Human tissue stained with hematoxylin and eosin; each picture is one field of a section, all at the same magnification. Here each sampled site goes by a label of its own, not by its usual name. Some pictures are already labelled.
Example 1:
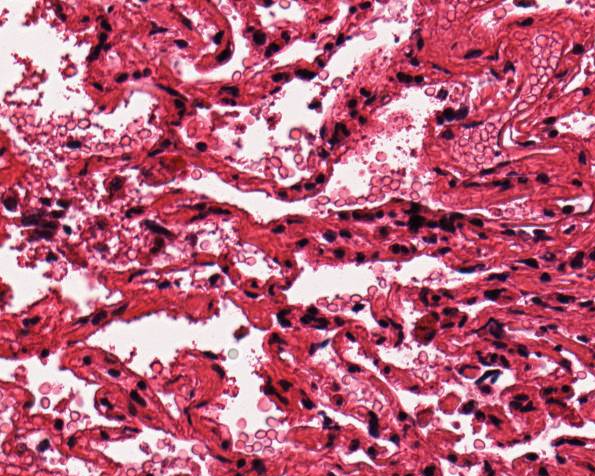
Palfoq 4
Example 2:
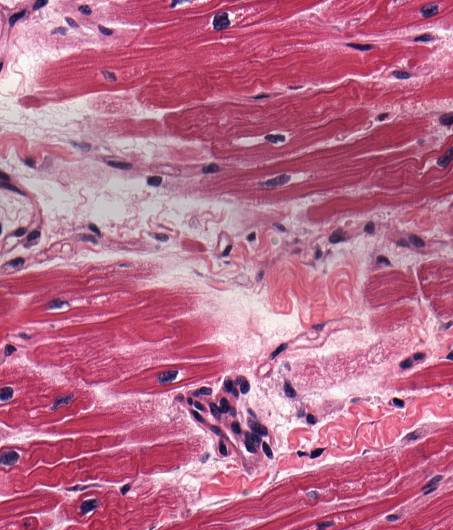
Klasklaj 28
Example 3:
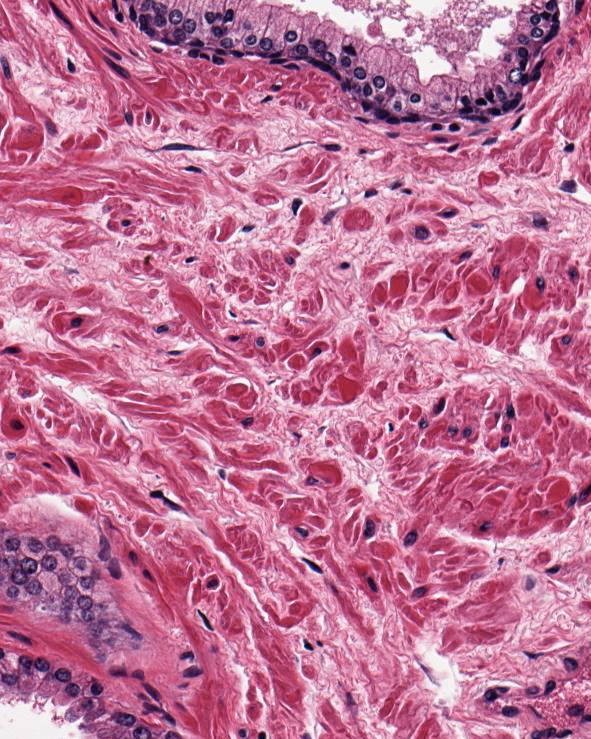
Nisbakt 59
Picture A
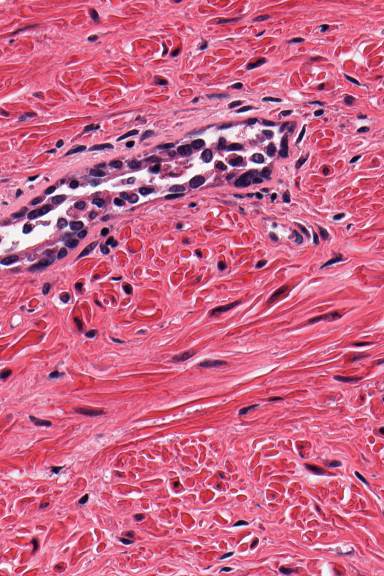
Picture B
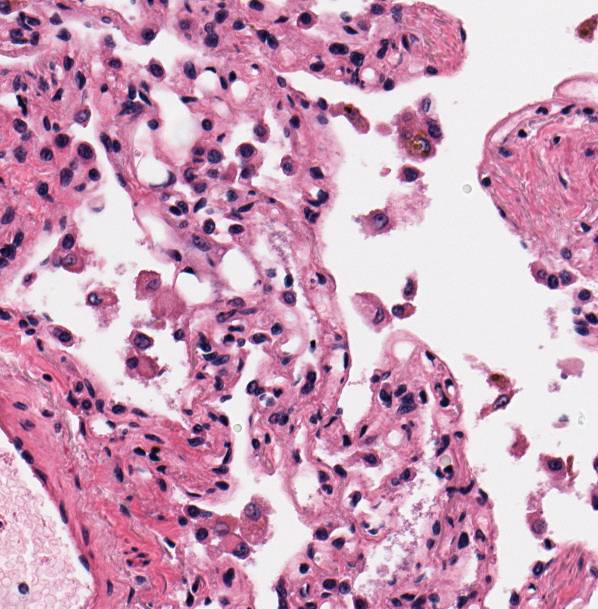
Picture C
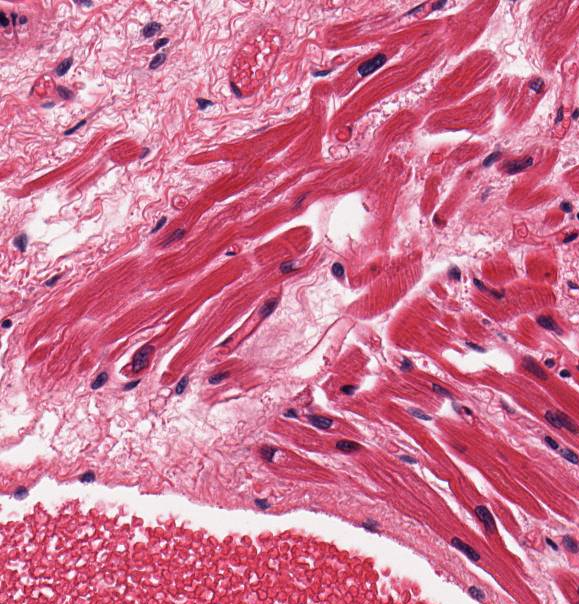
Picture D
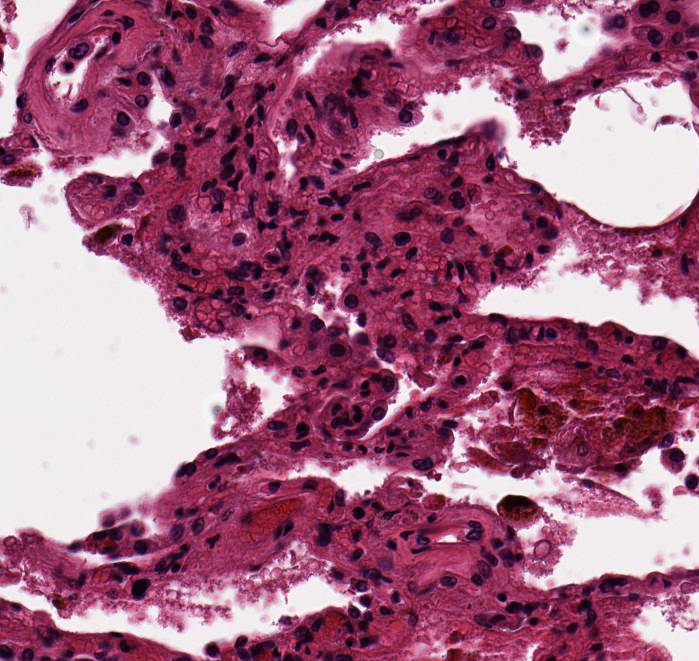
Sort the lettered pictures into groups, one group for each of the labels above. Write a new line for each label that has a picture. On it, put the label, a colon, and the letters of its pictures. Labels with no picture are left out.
Palfoq 4: B, D
Klasklaj 28: C
Nisbakt 59: A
